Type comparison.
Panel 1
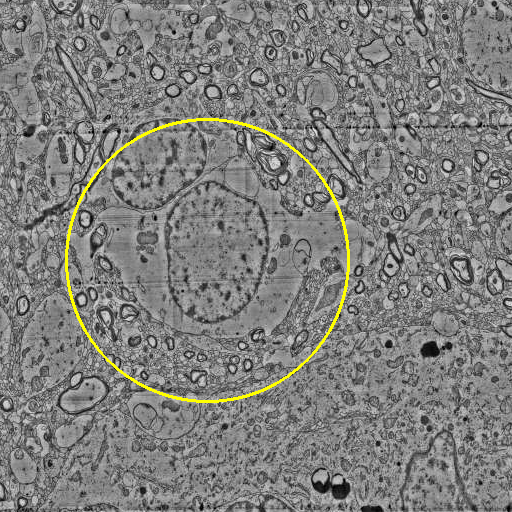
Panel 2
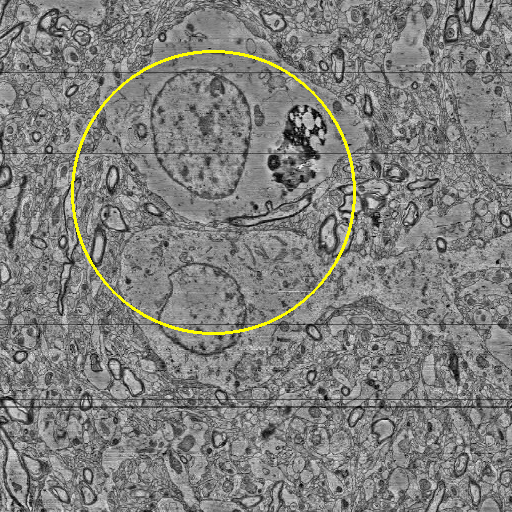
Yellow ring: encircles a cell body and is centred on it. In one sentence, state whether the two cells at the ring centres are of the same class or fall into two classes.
In these panels, the two cells at the ring centres are of the same class.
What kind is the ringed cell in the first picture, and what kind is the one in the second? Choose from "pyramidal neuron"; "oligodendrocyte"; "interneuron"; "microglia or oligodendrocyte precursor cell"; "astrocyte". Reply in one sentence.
Each of the two pictures has an astrocyte at the ring centre.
